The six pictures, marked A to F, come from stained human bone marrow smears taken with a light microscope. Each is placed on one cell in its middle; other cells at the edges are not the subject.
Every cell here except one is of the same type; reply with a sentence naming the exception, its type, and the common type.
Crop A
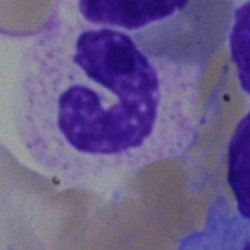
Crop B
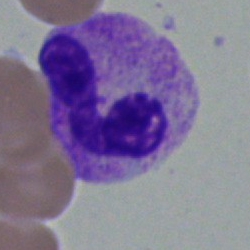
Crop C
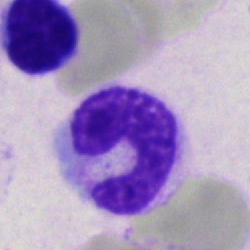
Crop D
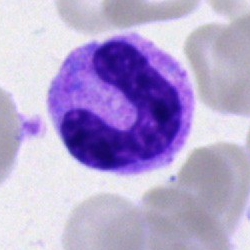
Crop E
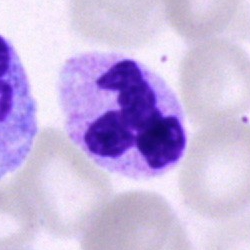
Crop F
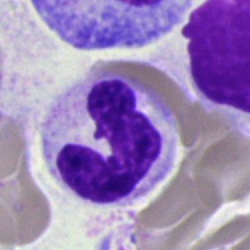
The exception is crop E: it is a segmented neutrophil, and the others are all band neutrophils.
